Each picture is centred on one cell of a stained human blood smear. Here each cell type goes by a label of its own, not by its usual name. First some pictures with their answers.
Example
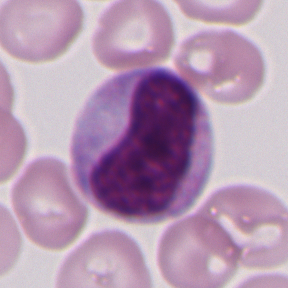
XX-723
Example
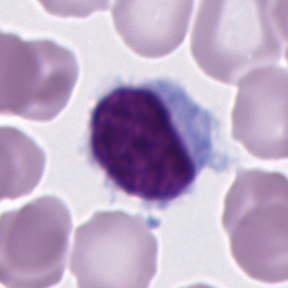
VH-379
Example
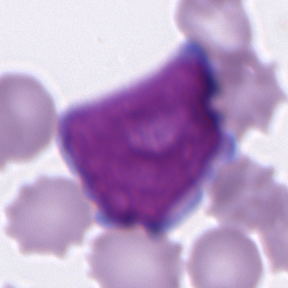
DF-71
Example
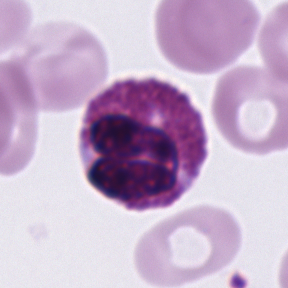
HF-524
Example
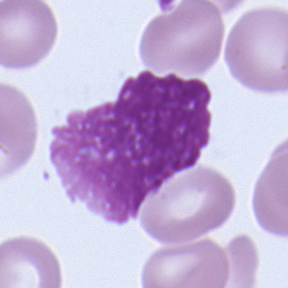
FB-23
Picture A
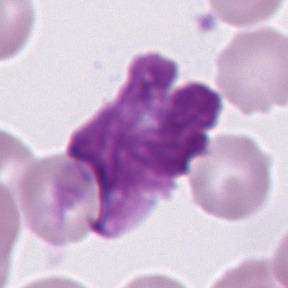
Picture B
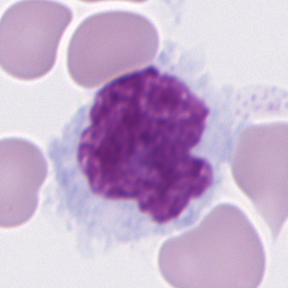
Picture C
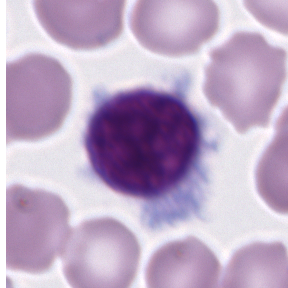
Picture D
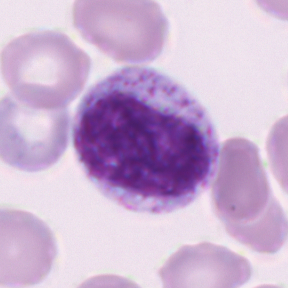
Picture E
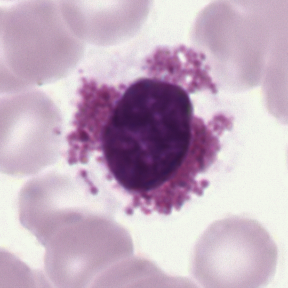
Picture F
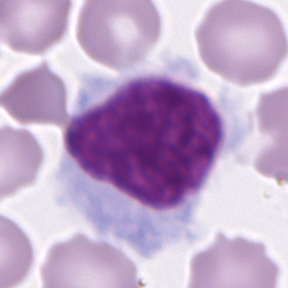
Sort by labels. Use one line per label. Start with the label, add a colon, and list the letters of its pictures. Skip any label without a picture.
XX-723: D
VH-379: B, C, F
HF-524: E
FB-23: A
